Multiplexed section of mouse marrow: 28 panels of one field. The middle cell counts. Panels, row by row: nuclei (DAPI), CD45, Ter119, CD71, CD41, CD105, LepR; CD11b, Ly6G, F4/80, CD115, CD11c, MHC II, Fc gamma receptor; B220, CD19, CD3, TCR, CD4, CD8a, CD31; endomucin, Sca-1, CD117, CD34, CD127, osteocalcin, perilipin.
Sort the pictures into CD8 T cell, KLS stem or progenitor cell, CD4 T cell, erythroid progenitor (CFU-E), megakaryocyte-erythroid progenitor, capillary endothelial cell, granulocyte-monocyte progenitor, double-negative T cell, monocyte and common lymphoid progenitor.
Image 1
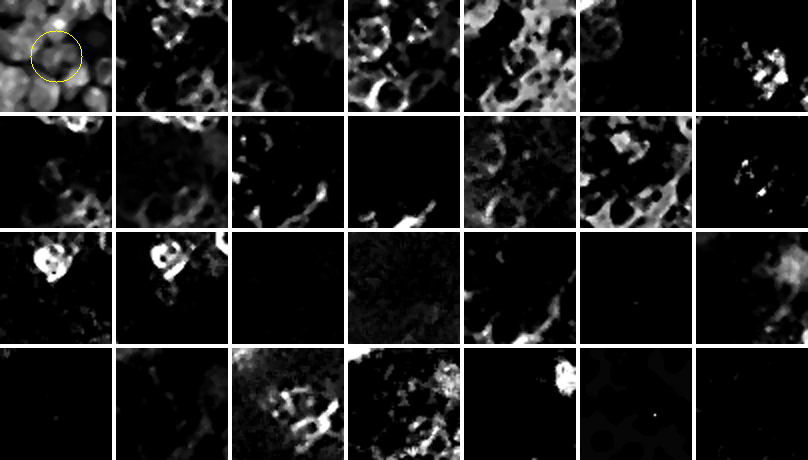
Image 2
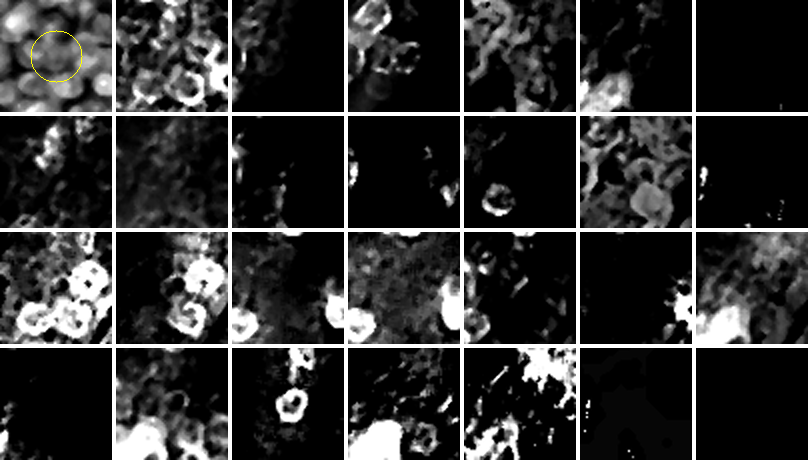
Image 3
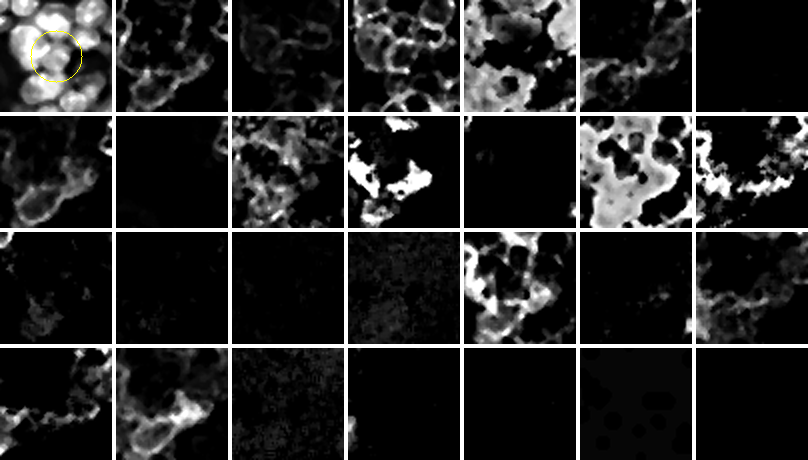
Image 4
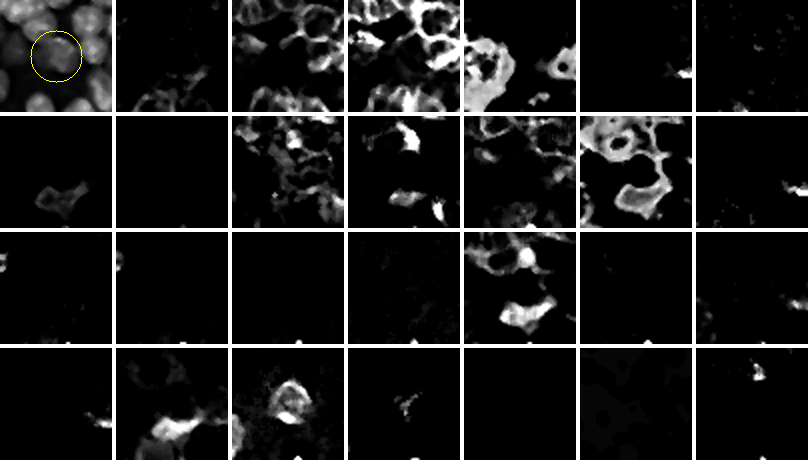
Megakaryocyte-erythroid progenitors: 1
Erythroid progenitors (CFU-E): 2
Monocytes: 3
KLS stem or progenitor cells: 4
